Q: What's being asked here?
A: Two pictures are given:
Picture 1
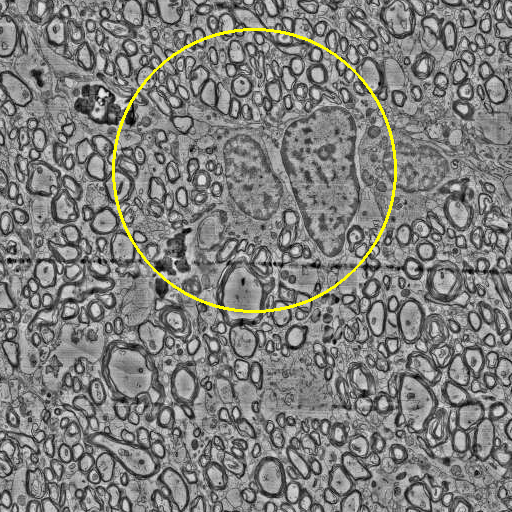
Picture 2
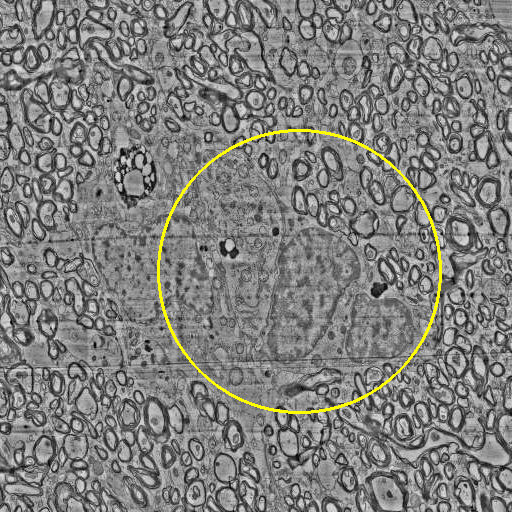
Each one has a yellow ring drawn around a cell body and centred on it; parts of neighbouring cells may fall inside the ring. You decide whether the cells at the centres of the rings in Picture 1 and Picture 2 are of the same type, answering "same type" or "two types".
same type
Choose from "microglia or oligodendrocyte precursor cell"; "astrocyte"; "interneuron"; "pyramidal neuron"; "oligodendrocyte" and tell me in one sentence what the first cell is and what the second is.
The second cell is an oligodendrocyte, just as the first is.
